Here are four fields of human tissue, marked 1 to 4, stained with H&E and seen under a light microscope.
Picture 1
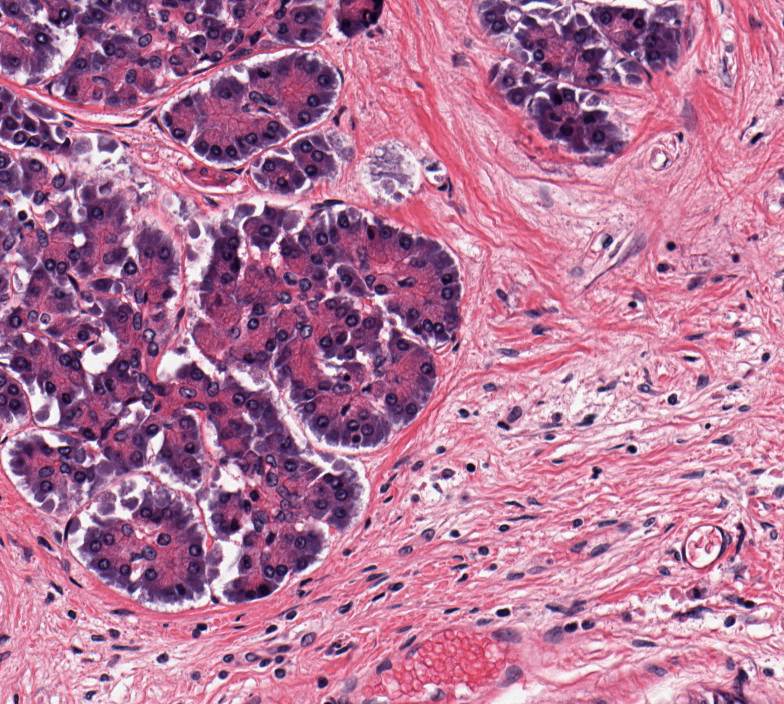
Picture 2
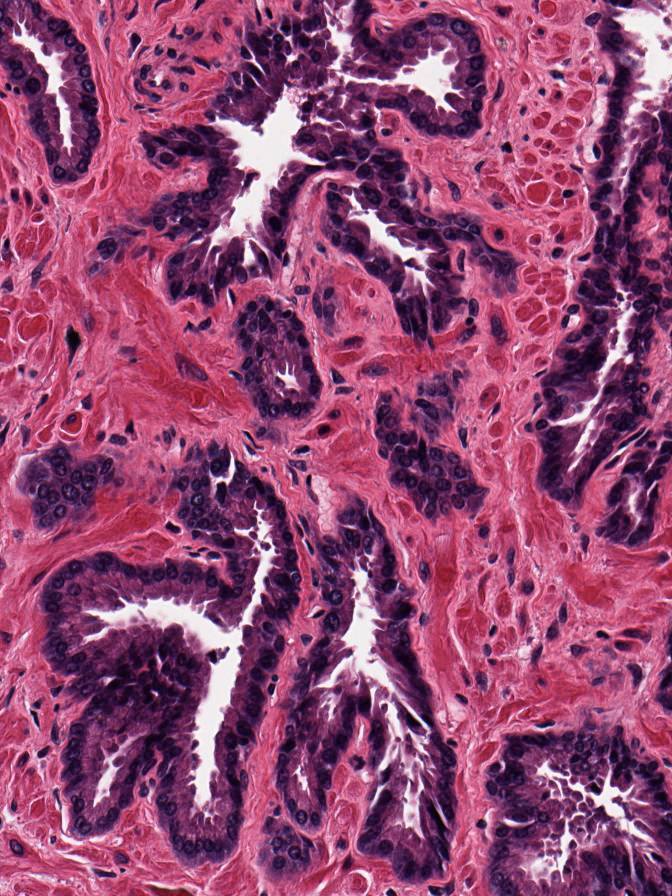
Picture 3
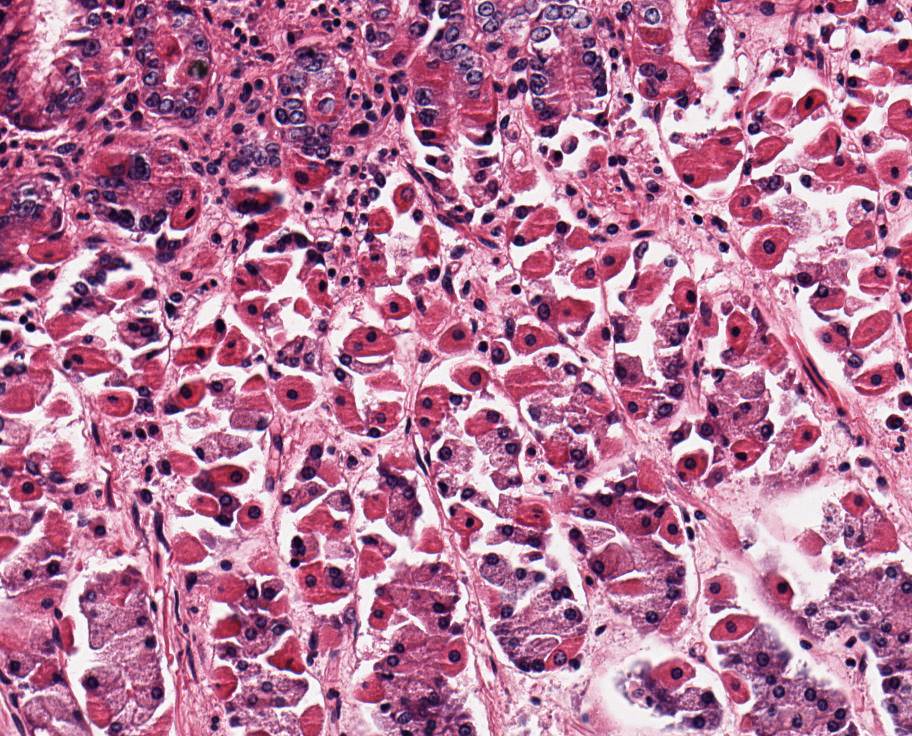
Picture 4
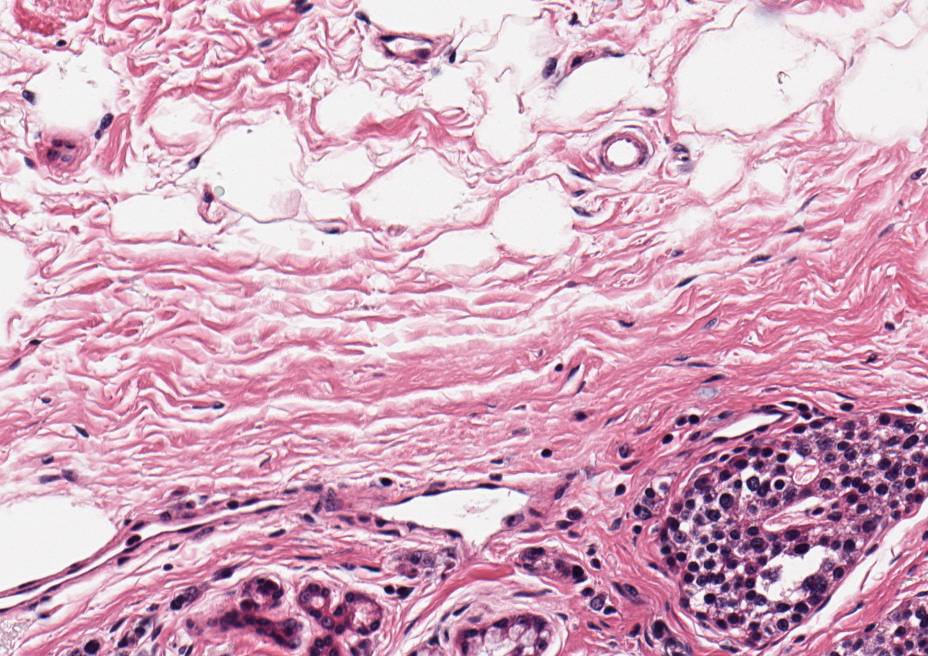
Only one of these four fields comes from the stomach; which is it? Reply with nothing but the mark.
3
